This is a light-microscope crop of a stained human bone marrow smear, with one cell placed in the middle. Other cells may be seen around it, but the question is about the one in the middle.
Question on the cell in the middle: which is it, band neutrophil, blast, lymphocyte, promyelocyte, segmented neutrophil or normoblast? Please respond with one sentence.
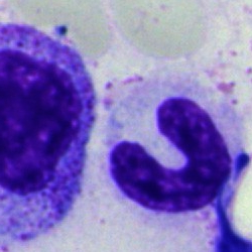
This crop is built around a band neutrophil at its centre.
